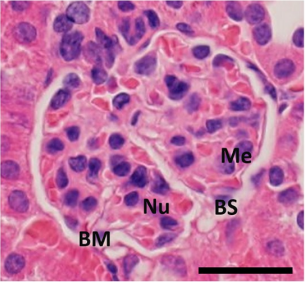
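This is a renal glomerulus: a compact tuft of capillary loops packed with cells whose round to oval nuclei stain deep purple, including mesangial cells between the loops, with pink red blood cells in the lumina. A narrow pale Bowman's space and a thin basement membrane line surround the tuft, and pink-staining tubular epithelium lies outside.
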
